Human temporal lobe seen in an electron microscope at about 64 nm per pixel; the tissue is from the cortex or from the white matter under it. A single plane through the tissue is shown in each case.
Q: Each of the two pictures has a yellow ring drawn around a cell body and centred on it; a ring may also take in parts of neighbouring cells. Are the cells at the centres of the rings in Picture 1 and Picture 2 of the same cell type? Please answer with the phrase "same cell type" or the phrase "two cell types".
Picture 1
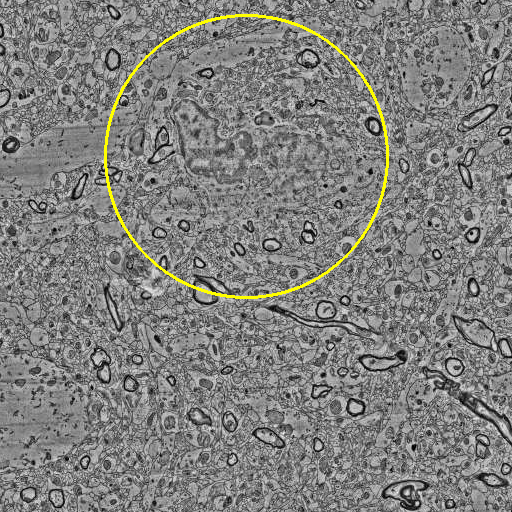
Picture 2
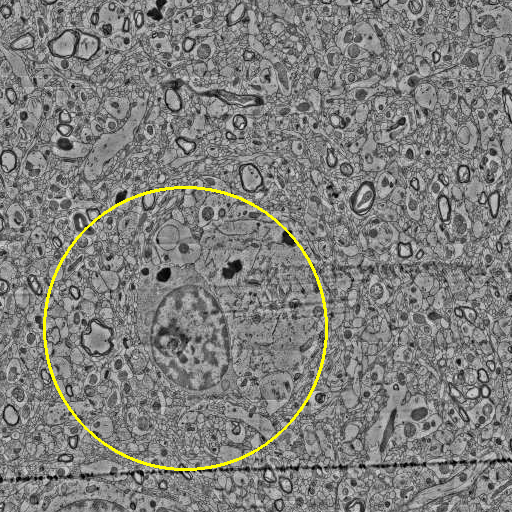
two cell types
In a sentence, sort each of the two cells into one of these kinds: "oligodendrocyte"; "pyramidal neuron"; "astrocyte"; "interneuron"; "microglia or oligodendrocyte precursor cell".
The first of the two cells is a microglial cell or oligodendrocyte precursor cell, and the second is an oligodendrocyte.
